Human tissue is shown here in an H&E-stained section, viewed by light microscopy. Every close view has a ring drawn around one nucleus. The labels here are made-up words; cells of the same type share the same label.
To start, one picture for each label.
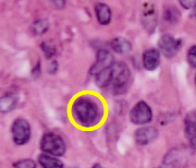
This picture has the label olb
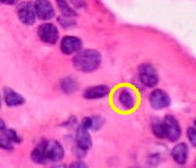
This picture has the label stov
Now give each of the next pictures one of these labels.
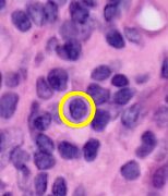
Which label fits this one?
stov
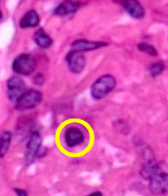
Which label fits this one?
olb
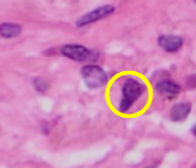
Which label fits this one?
olb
